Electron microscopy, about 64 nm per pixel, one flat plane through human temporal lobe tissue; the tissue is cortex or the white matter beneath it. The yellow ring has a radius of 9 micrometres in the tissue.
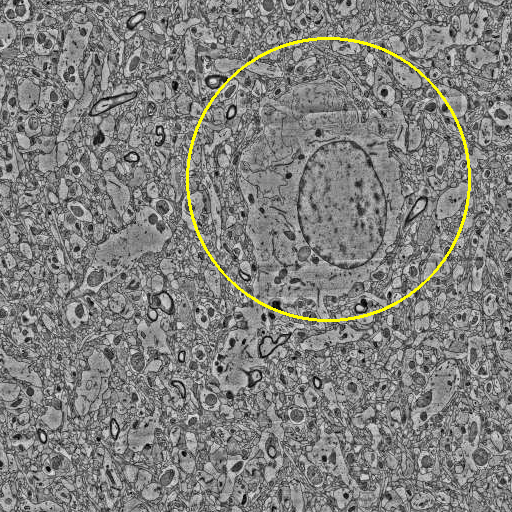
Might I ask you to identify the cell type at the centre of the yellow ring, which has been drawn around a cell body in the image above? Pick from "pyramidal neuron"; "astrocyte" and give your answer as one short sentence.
The centre of the ring falls on an astrocyte.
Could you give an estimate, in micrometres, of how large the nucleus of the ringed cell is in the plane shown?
About 8 by 6 micrometers for the nucleus, in this plane.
